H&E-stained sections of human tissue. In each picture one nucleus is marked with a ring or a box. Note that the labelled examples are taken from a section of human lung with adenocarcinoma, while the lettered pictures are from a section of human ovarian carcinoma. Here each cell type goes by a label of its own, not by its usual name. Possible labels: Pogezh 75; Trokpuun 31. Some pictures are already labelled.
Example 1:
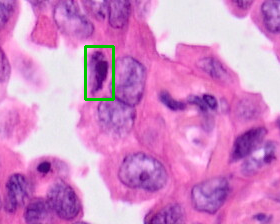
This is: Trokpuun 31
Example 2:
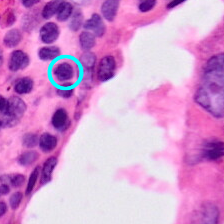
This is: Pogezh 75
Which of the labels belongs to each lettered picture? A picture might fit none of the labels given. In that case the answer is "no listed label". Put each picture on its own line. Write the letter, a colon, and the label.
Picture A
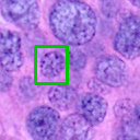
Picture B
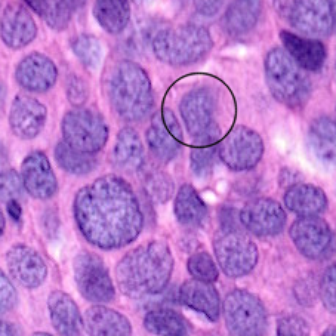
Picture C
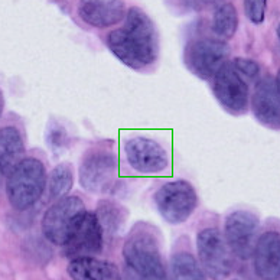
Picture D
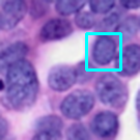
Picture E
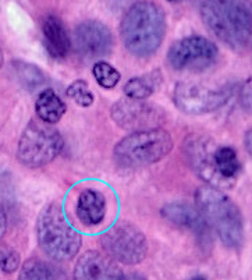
A: Trokpuun 31
B: Trokpuun 31
C: no listed label
D: Trokpuun 31
E: Pogezh 75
